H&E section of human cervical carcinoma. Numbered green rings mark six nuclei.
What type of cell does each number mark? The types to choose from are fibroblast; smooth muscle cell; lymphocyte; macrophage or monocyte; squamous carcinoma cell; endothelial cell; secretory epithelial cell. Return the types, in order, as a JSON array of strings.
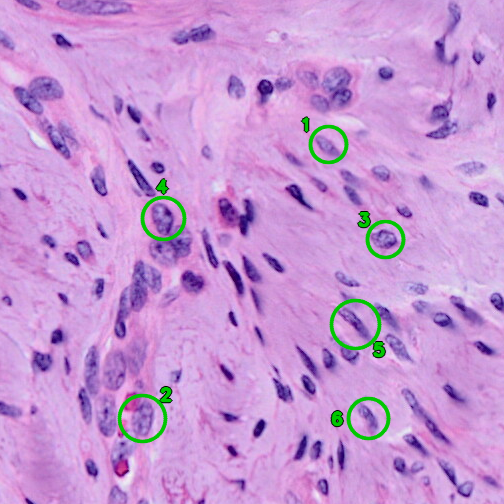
["smooth muscle cell", "endothelial cell", "smooth muscle cell", "endothelial cell", "fibroblast", "fibroblast"]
